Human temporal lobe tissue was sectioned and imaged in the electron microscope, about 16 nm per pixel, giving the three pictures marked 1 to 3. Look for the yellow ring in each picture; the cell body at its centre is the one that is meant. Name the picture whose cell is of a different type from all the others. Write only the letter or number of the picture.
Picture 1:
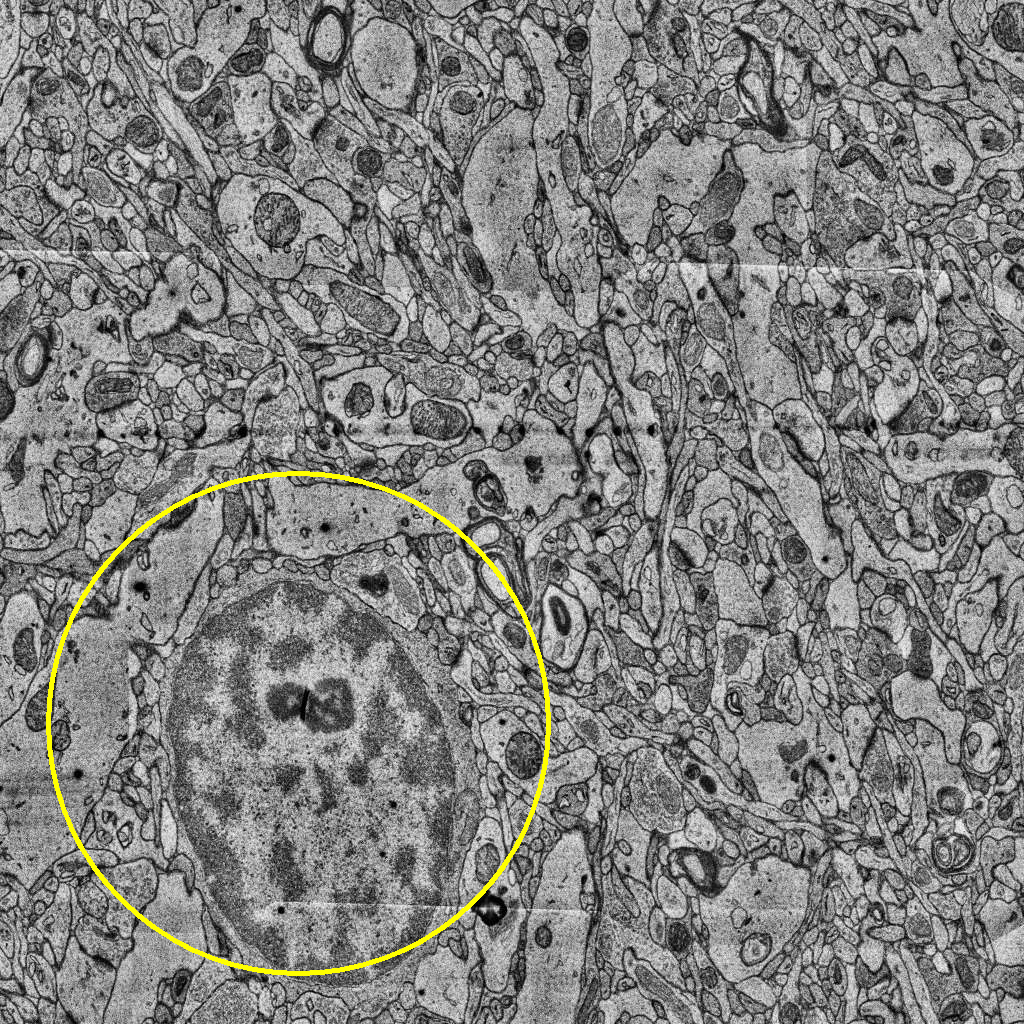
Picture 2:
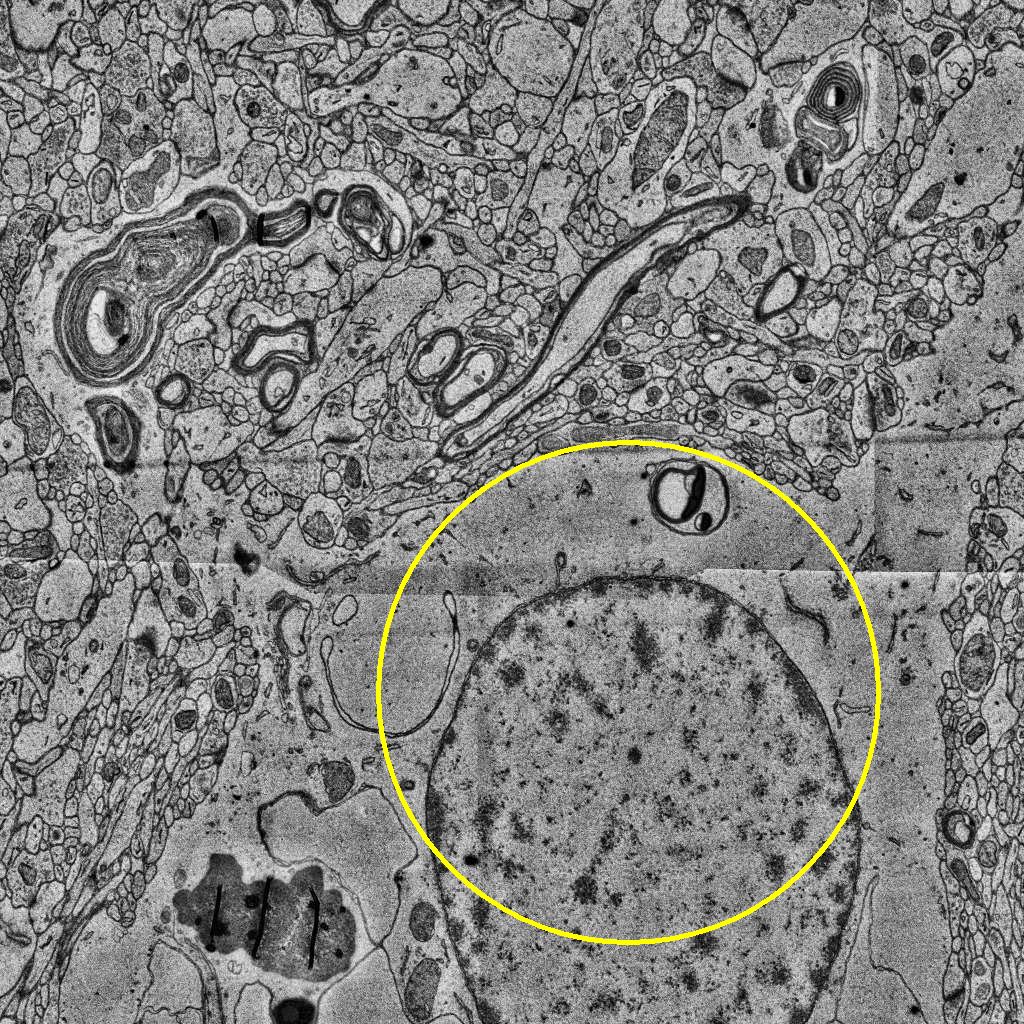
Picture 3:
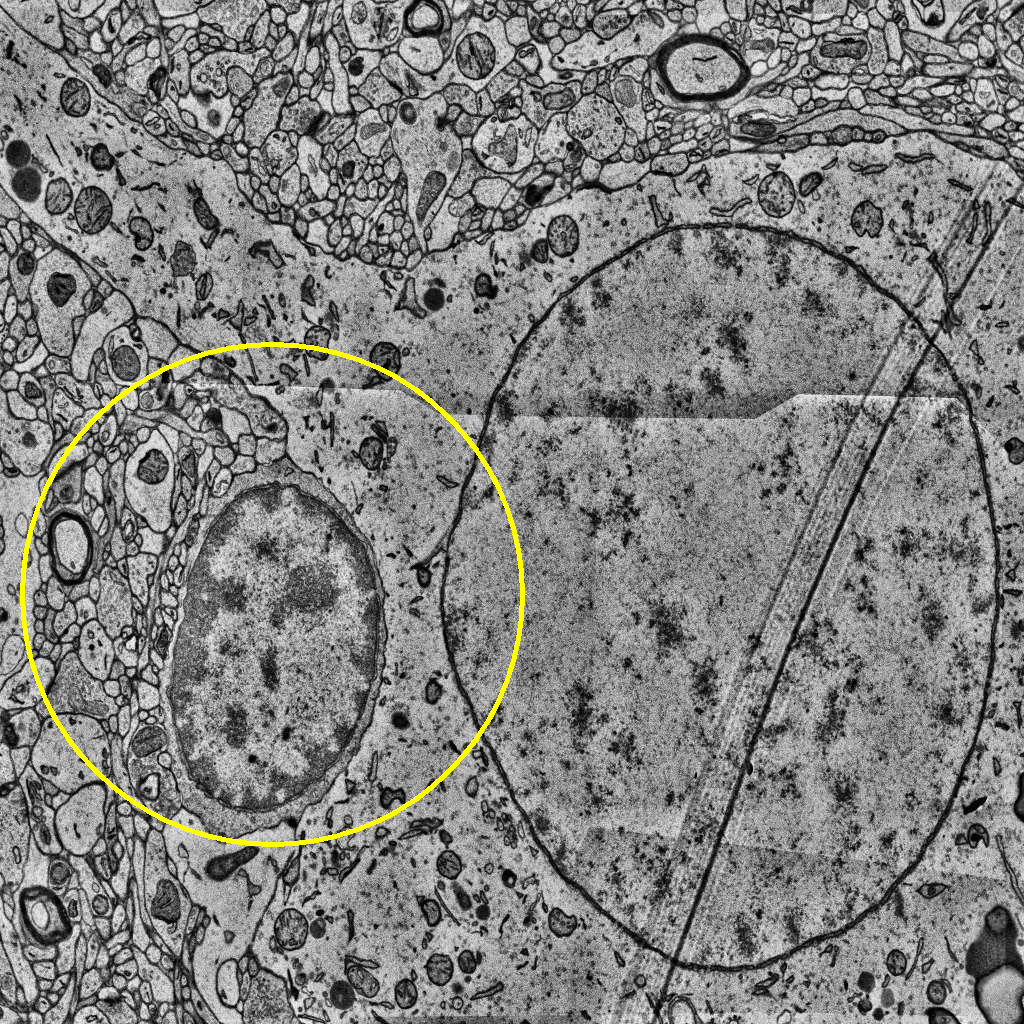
2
